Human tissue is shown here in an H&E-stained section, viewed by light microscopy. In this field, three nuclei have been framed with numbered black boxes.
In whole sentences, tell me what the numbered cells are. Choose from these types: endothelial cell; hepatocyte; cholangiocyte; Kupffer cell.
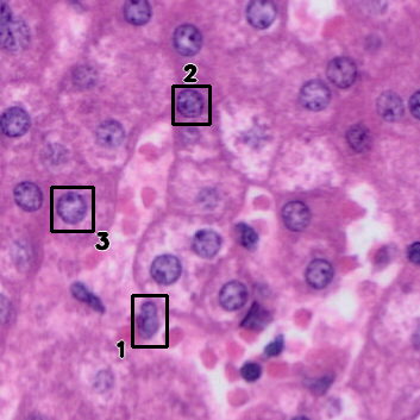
Cell 1 is a Kupffer cell, cell 2 is a hepatocyte and cell 3 is a hepatocyte.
